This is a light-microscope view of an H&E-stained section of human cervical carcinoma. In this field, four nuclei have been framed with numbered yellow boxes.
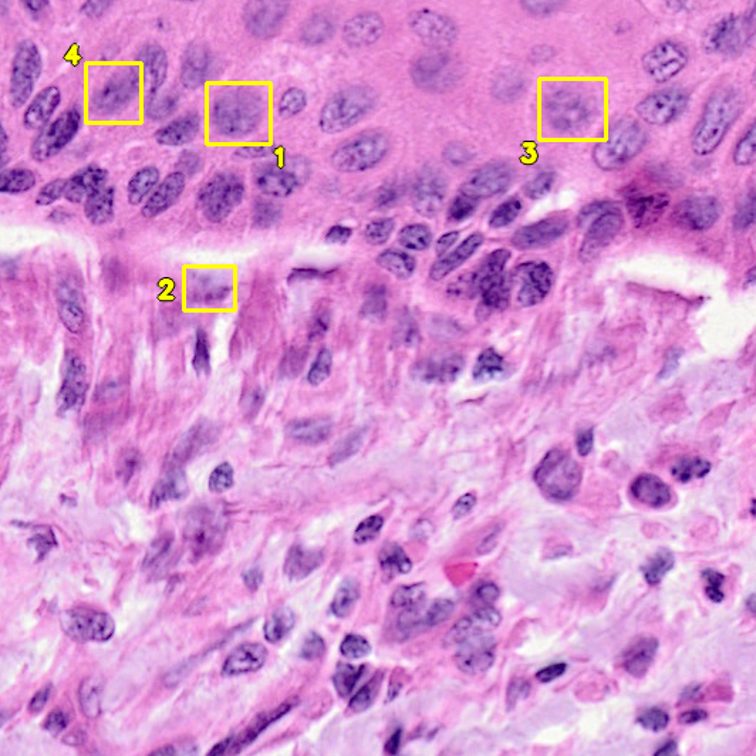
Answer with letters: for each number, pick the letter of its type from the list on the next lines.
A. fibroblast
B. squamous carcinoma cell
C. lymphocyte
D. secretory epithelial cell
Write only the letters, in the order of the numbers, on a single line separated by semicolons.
B; A; B; B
